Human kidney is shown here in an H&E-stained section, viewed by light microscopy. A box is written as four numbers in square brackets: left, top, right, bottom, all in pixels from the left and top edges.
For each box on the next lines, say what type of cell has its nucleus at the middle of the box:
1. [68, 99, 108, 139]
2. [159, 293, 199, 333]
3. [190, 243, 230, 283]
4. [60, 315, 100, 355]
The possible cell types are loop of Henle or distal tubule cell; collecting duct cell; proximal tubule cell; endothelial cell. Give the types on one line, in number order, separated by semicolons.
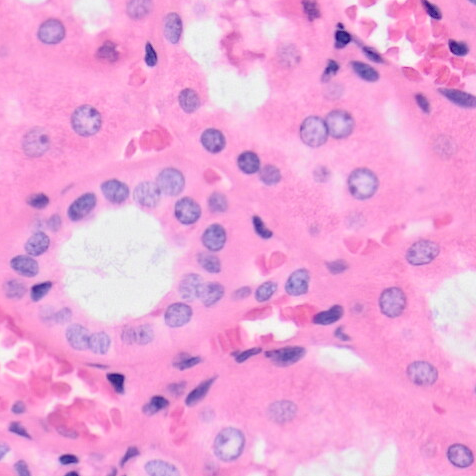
proximal tubule cell; collecting duct cell; collecting duct cell; collecting duct cell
